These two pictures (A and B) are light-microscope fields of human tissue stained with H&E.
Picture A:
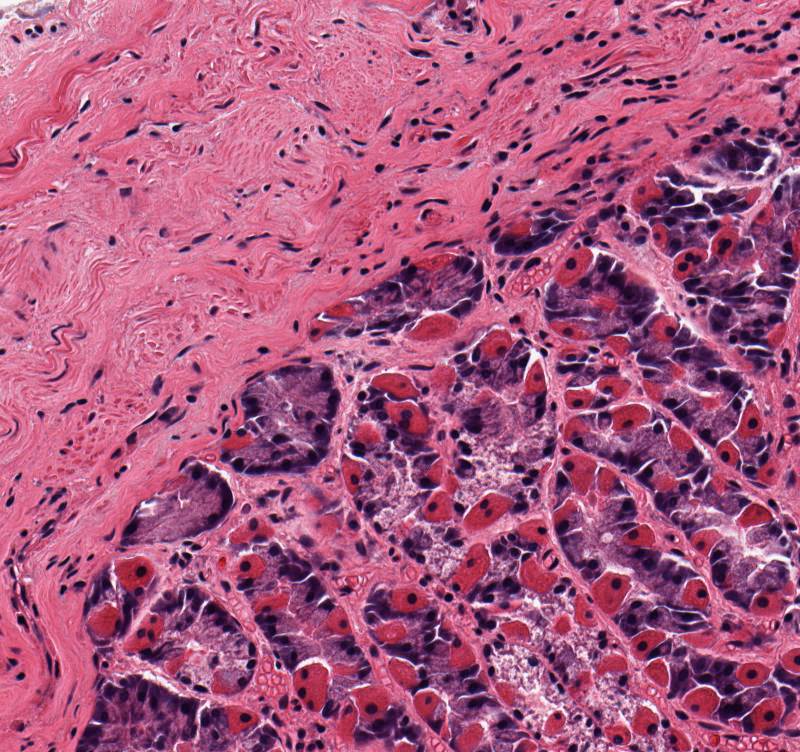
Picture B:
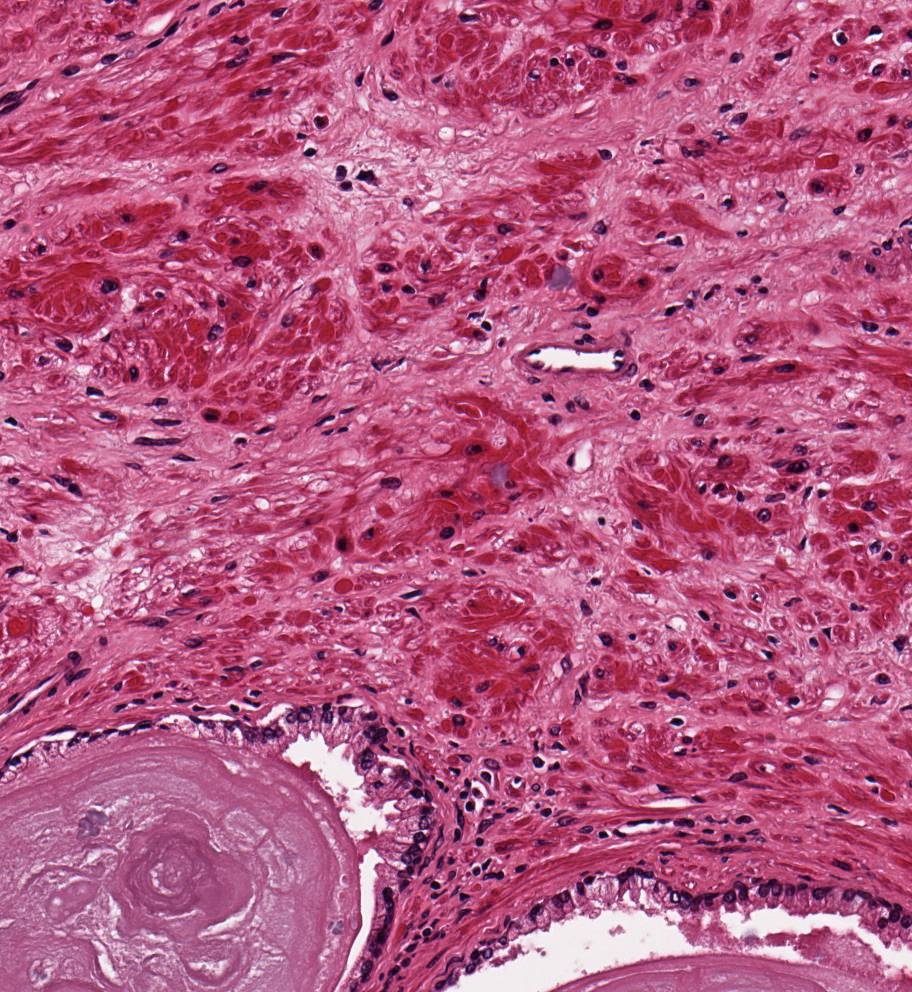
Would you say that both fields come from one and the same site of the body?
no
